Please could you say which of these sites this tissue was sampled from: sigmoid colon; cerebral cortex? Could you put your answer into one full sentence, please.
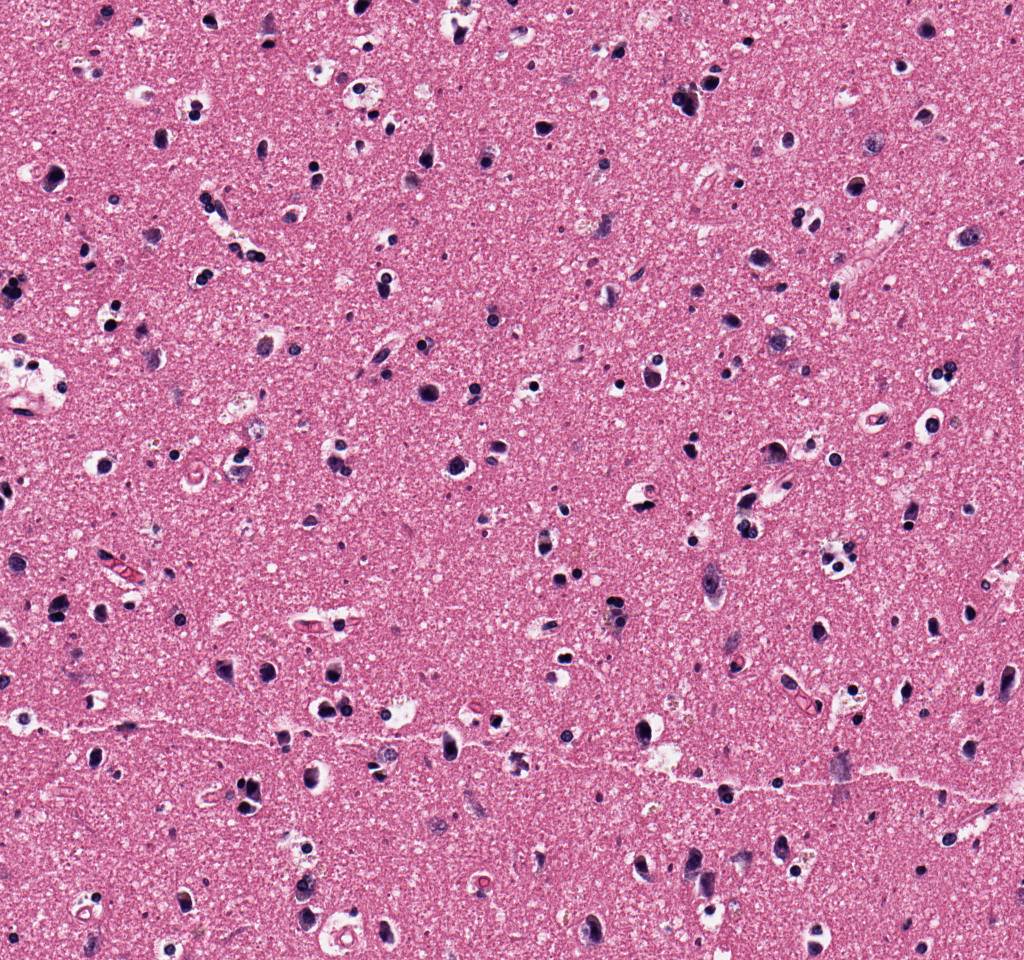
This histological section comes from the cerebral cortex.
